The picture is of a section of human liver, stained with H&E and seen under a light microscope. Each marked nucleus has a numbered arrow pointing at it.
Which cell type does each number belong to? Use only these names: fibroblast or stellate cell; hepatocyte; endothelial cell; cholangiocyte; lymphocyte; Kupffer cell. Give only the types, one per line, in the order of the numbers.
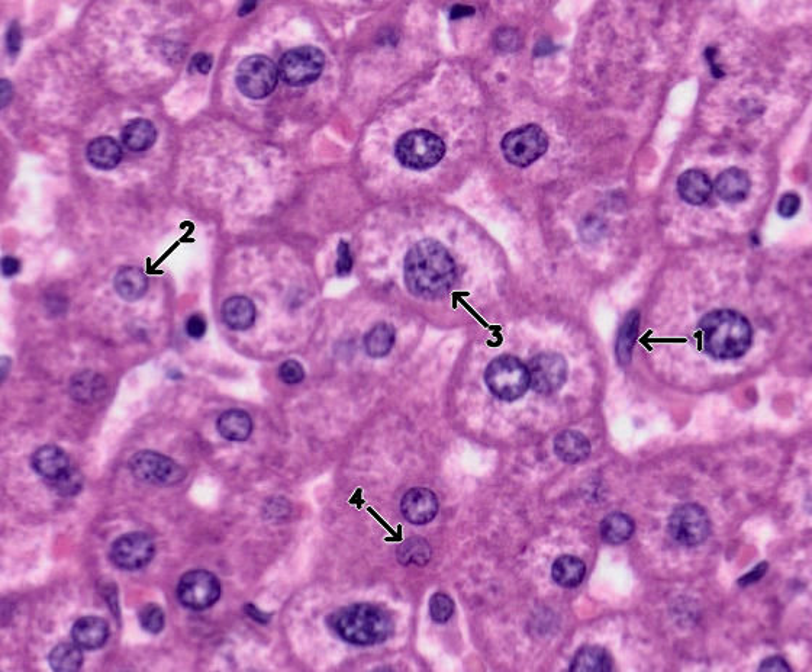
Kupffer cell
hepatocyte
hepatocyte
hepatocyte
